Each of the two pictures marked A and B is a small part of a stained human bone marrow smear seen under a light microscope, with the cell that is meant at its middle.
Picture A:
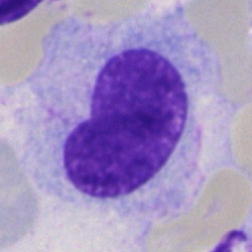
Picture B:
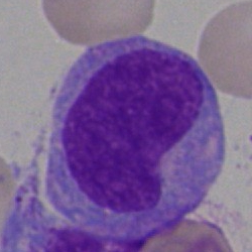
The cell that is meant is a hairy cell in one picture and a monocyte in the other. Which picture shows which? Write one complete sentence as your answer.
The cell in picture A is a hairy cell, and the one in picture B is a monocyte.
